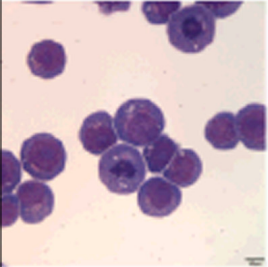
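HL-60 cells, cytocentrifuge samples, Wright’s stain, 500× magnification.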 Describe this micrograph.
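Undifferentiated blast cells lie singly and in a small cluster on a pale background. The cells are round with smooth outlines and are of fairly uniform size. Each has a large, round, purple nucleus that occupies most of the cell, leaving only a narrow rim of bluish to lilac cytoplasm. Where cells touch, they press against one another with flattened borders. No indented or lobed nuclei and no broad pale cytoplasm are seen, giving the uniform, immature appearance of a blast population.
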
